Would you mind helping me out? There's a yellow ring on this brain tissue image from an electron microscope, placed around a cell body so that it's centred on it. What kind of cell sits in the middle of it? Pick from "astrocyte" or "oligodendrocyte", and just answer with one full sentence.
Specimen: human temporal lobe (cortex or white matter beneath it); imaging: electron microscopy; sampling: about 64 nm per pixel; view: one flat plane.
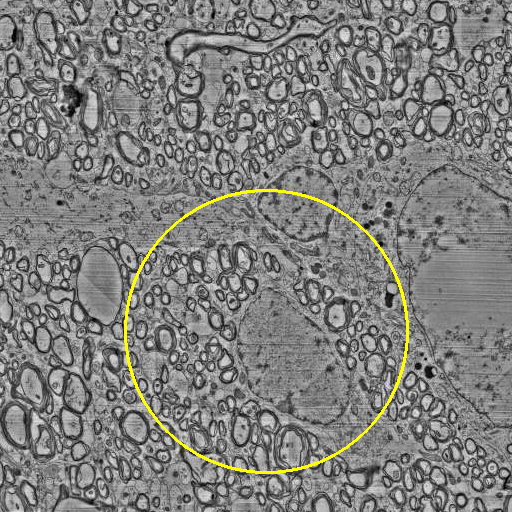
What sits in the middle of that yellow ring is an astrocyte, from your choices.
